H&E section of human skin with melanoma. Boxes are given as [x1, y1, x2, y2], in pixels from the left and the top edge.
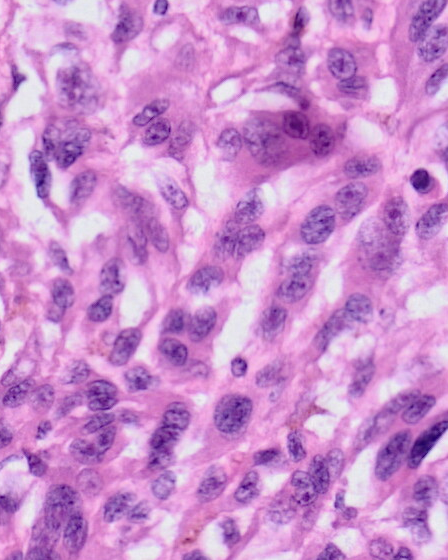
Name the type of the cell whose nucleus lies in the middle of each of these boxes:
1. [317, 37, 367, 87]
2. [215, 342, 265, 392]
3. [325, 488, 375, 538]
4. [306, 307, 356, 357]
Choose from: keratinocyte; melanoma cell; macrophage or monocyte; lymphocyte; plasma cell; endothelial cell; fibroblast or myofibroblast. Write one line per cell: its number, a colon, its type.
1: melanoma cell
2: lymphocyte
3: melanoma cell
4: melanoma cell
